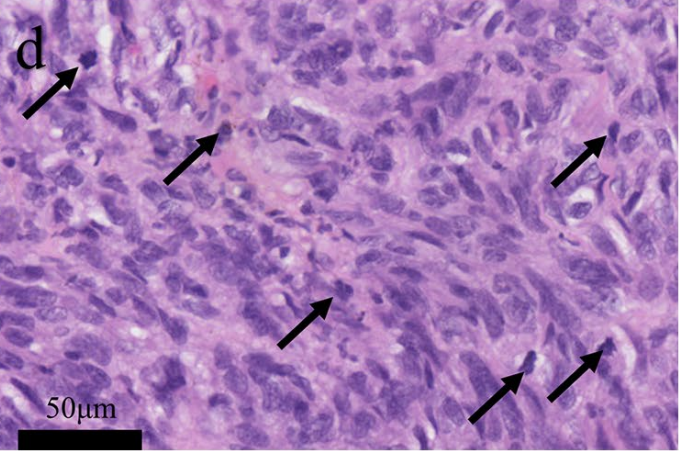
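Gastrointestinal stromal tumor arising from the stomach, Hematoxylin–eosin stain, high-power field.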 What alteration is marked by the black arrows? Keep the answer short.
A: multiple mitoses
